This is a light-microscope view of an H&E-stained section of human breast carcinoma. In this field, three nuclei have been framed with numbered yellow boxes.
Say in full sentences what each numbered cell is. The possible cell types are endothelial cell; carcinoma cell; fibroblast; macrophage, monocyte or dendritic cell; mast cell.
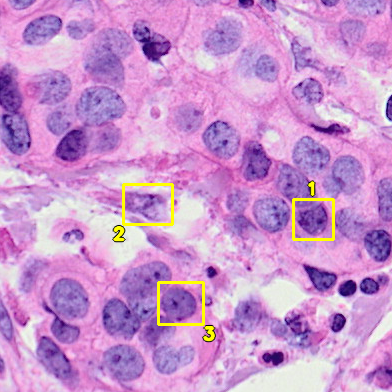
Cell 1 is a carcinoma cell, cell 2 is a fibroblast and cell 3 is a carcinoma cell.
